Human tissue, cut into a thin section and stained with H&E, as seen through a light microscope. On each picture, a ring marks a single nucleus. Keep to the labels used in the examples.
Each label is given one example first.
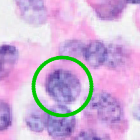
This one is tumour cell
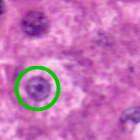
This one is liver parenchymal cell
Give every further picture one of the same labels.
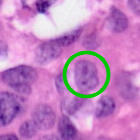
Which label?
tumour cell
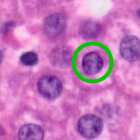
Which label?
liver parenchymal cell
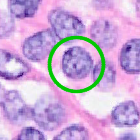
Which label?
tumour cell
